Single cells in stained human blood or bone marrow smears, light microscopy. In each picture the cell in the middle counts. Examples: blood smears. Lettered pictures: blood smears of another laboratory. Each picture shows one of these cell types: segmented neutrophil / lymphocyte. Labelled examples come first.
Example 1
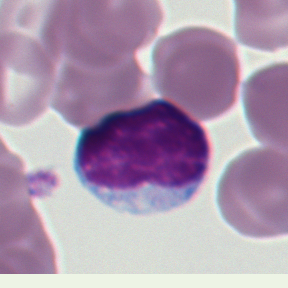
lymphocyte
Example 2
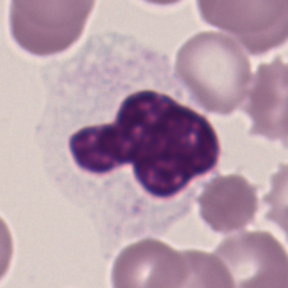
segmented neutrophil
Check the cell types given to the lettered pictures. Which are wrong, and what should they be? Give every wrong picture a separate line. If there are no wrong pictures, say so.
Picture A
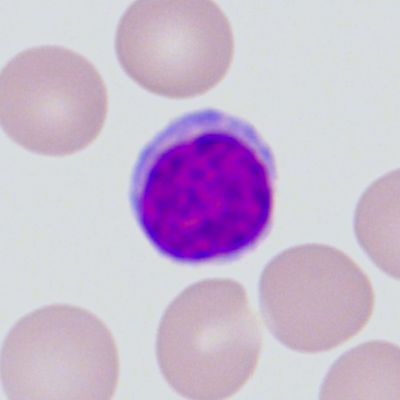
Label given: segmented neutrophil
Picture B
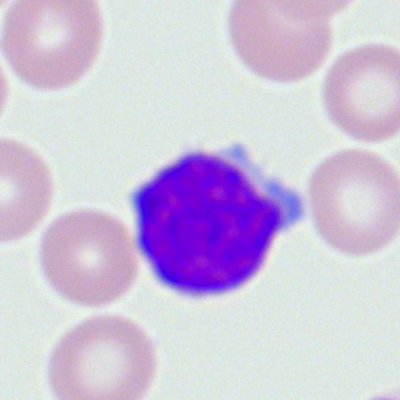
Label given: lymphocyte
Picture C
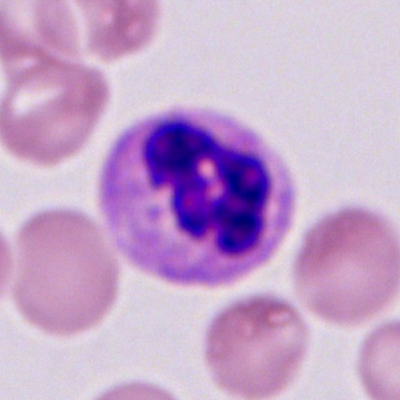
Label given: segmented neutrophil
A: change segmented neutrophil to lymphocyte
